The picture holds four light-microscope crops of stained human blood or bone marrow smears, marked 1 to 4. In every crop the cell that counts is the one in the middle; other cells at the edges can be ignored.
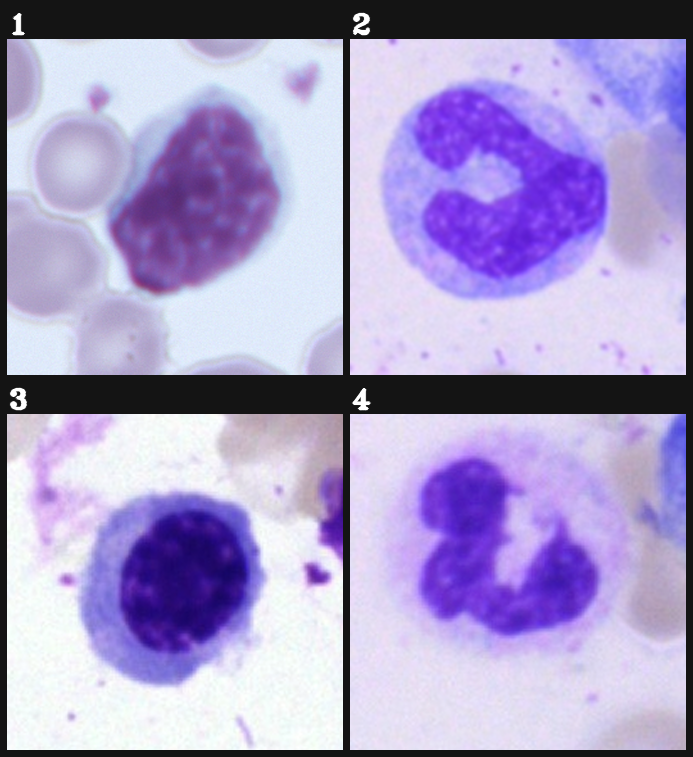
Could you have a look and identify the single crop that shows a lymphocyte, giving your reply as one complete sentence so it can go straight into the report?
Crop 1 is the crop in which a lymphocyte is shown.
